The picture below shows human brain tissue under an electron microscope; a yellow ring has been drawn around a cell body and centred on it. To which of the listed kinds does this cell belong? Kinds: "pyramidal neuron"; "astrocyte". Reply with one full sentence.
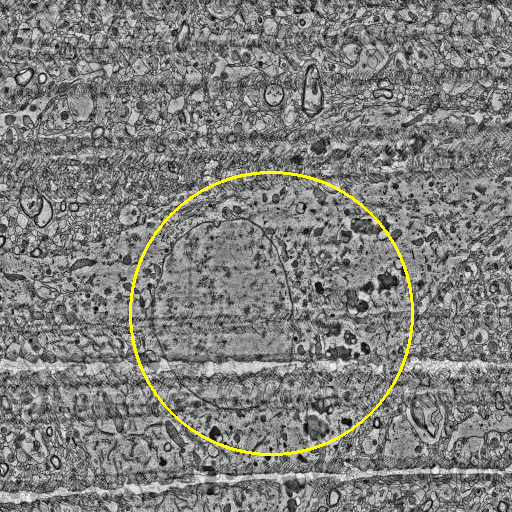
It is a pyramidal neuron that the yellow ring in the picture is centred on.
